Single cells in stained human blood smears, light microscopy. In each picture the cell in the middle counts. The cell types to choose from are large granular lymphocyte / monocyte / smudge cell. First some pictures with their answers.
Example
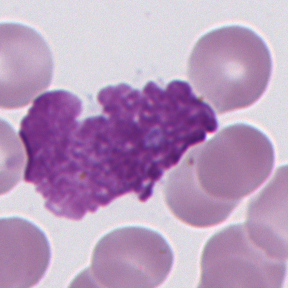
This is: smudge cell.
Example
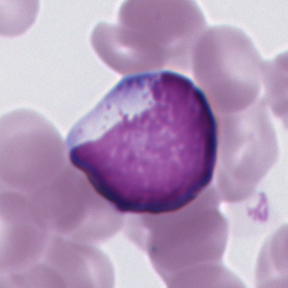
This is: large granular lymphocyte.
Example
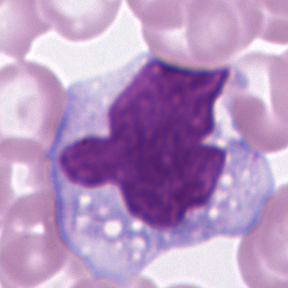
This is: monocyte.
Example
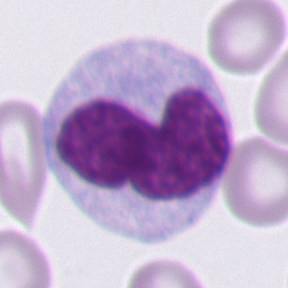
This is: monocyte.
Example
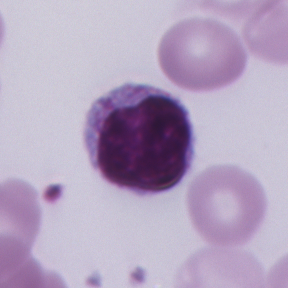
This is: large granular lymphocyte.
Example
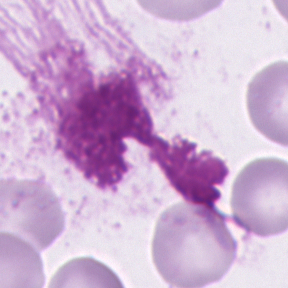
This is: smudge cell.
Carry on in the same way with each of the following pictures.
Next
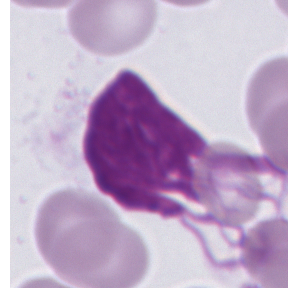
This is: smudge cell.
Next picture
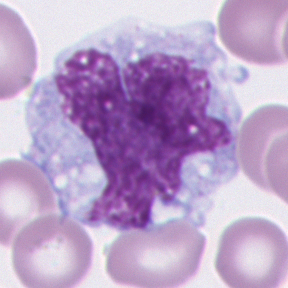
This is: monocyte.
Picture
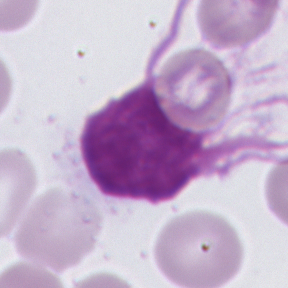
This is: smudge cell.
